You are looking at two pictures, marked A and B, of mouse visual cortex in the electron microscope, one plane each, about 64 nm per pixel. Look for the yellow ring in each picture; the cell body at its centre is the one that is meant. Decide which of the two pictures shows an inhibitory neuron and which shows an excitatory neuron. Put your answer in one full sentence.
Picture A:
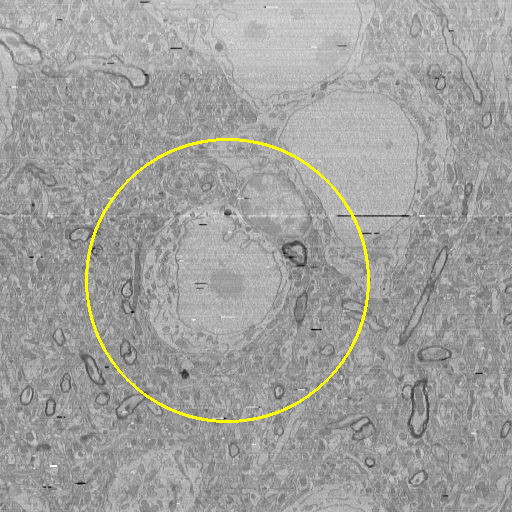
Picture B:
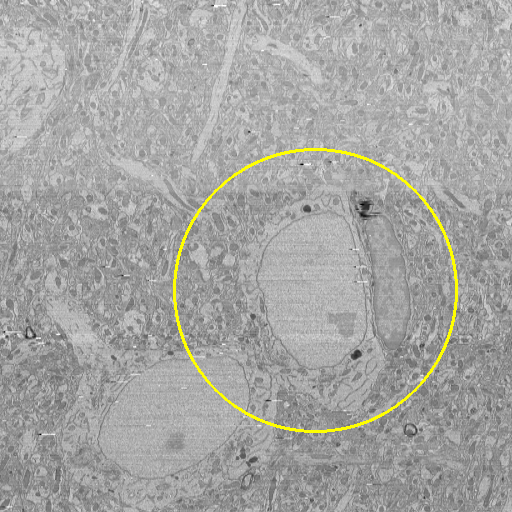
In picture A the cell is an inhibitory neuron; in picture B, an excitatory neuron.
